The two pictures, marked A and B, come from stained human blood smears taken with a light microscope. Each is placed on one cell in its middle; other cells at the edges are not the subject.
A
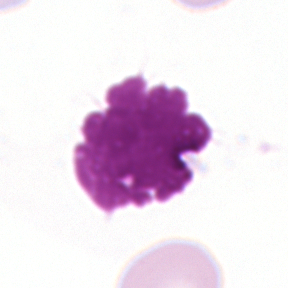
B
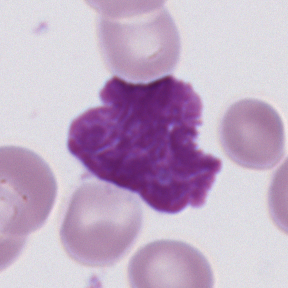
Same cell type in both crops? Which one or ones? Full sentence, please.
Yes, smudge cells lie at the centre of both crops.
